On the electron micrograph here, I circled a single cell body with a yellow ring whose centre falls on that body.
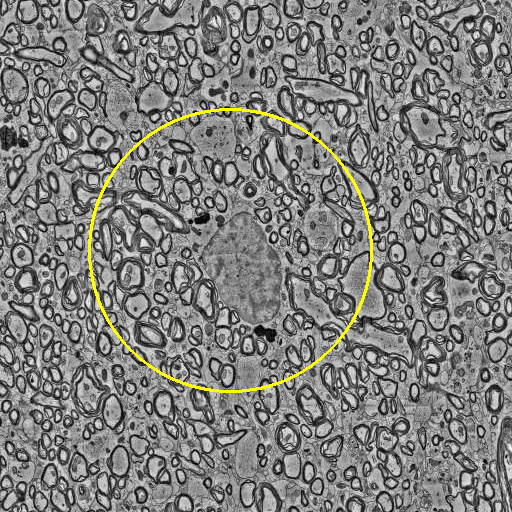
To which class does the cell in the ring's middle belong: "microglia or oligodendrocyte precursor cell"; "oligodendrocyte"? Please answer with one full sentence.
In this picture, the cell body circled at the ring's centre belongs to an oligodendrocyte.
